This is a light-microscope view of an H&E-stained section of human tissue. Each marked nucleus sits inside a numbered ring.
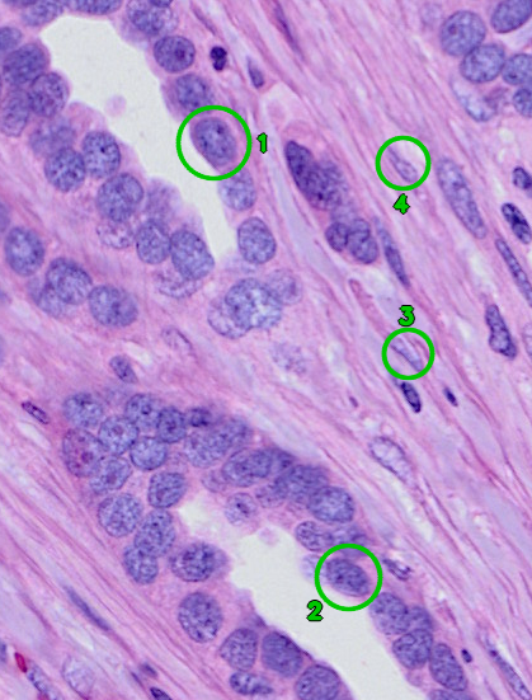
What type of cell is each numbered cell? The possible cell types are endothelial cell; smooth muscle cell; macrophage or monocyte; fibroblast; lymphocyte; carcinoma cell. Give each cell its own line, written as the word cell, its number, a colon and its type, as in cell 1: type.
cell 1: carcinoma cell
cell 2: carcinoma cell
cell 3: fibroblast
cell 4: fibroblast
